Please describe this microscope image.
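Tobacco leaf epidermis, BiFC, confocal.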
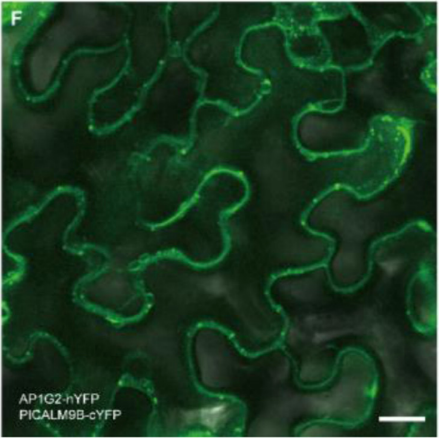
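A green fluorescent rim follows the margin of each cell around its lobes. Numerous small bright green puncta sit along and just inside the cell margins. The centres of the cells appear dark with little fluorescence. The cells are packed edge to edge in one continuous layer.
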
